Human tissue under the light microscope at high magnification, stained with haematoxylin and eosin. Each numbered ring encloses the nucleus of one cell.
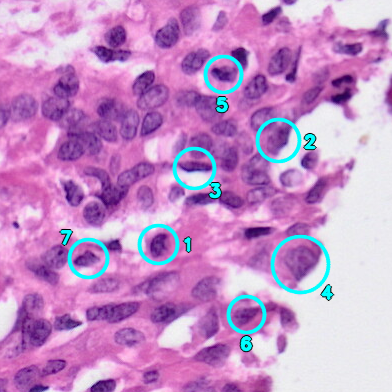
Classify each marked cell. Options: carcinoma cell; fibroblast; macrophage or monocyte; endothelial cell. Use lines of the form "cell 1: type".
cell 1: macrophage or monocyte
cell 2: carcinoma cell
cell 3: carcinoma cell
cell 4: carcinoma cell
cell 5: macrophage or monocyte
cell 6: carcinoma cell
cell 7: macrophage or monocyte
